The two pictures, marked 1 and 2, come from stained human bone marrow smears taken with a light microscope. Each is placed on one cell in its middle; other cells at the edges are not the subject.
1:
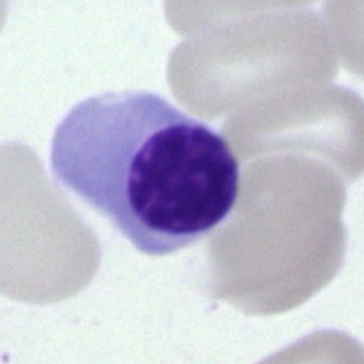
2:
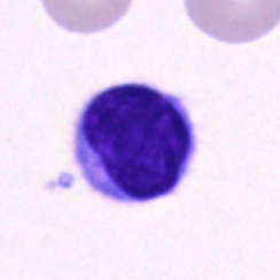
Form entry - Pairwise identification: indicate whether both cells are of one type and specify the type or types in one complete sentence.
No, crop 1 gives us a normoblast and crop 2 gives us a lymphocyte.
